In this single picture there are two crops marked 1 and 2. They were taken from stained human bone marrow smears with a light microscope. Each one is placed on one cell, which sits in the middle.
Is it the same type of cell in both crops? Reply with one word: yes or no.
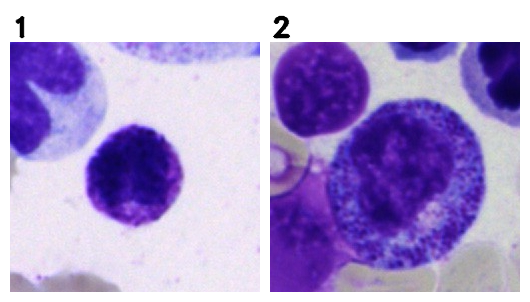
no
